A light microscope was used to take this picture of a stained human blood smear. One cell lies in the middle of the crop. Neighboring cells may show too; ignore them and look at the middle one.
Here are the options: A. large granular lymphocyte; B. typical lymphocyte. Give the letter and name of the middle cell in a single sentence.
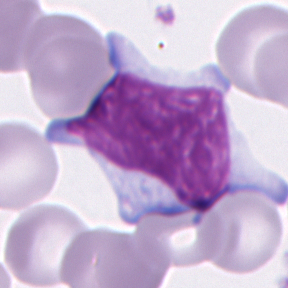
The cell positioned centrally is a typical lymphocyte, as given in option B, which is correct.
